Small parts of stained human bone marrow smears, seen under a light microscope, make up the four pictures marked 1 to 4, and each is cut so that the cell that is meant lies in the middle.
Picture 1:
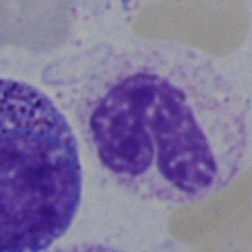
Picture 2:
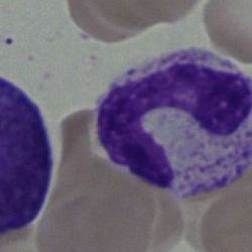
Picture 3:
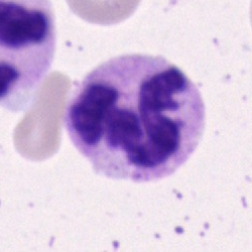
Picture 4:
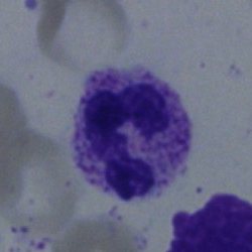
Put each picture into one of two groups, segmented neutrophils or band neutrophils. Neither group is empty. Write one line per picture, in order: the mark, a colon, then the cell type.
1: band neutrophil
2: band neutrophil
3: segmented neutrophil
4: segmented neutrophil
